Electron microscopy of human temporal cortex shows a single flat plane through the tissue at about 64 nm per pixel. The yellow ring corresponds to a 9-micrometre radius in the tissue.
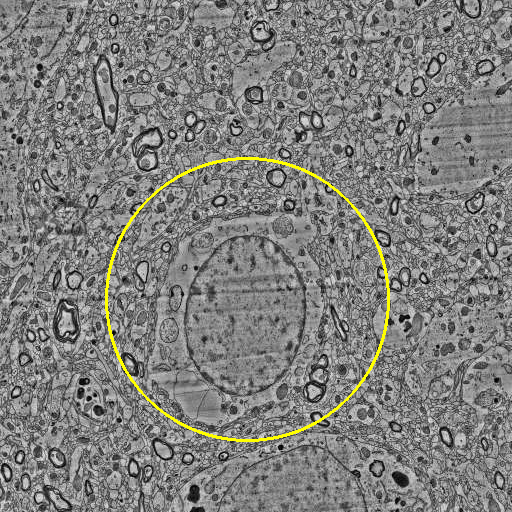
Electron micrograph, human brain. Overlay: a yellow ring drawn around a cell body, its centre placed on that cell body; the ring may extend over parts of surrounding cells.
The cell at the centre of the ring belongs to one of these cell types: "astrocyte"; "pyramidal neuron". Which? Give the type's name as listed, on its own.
astrocyte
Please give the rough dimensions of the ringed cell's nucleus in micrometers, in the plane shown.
In this plane, about 10 micrometres in length and 8 in width.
